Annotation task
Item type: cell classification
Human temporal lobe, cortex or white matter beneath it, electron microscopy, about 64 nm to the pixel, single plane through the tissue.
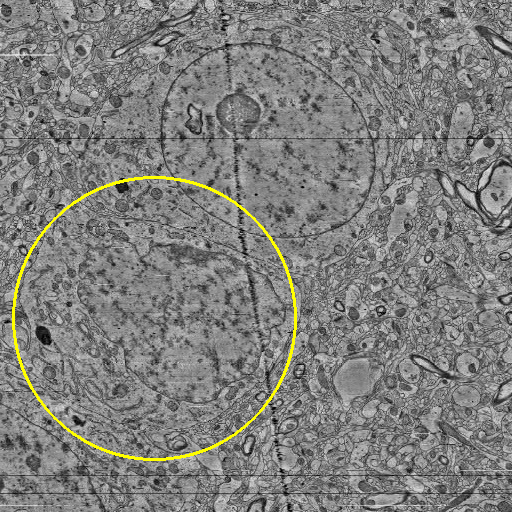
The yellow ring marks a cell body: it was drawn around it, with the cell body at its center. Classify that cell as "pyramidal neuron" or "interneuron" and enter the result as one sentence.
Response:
The ring's center falls on an interneuron.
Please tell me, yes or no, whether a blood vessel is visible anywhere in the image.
No, the image shows no blood vessel.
